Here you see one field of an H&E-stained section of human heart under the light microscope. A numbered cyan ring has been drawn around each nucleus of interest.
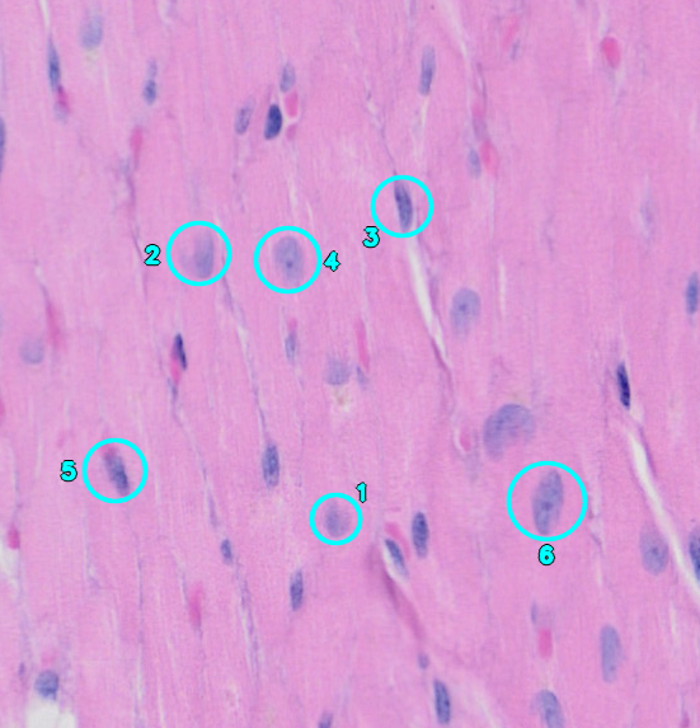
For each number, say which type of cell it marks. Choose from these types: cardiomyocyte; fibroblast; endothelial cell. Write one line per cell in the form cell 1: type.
cell 1: cardiomyocyte
cell 2: cardiomyocyte
cell 3: endothelial cell
cell 4: cardiomyocyte
cell 5: endothelial cell
cell 6: cardiomyocyte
